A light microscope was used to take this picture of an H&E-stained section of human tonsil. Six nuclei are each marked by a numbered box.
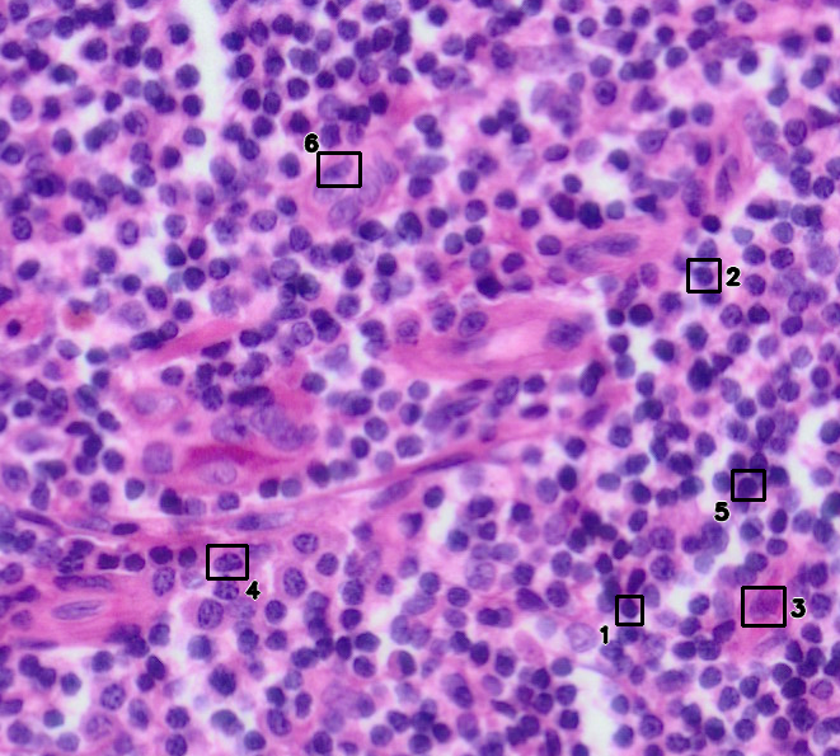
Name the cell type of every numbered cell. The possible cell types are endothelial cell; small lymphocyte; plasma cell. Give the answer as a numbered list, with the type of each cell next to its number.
1. small lymphocyte
2. small lymphocyte
3. endothelial cell
4. plasma cell
5. small lymphocyte
6. endothelial cell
